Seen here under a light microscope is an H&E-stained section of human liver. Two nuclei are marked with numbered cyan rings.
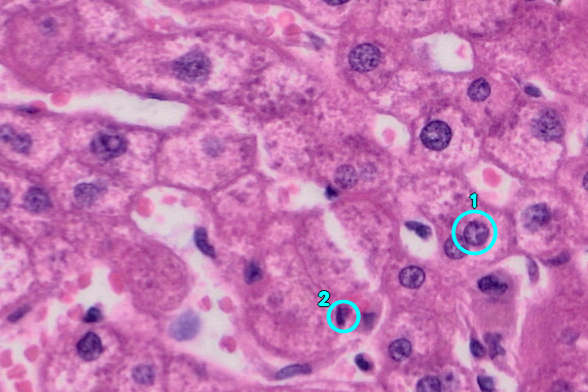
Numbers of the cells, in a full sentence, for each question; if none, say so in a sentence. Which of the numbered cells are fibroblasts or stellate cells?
Nothing but cell 2 is a fibroblast or stellate cell among the numbered ones.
